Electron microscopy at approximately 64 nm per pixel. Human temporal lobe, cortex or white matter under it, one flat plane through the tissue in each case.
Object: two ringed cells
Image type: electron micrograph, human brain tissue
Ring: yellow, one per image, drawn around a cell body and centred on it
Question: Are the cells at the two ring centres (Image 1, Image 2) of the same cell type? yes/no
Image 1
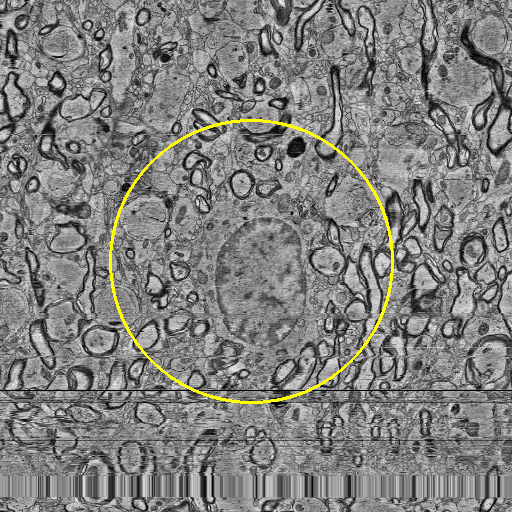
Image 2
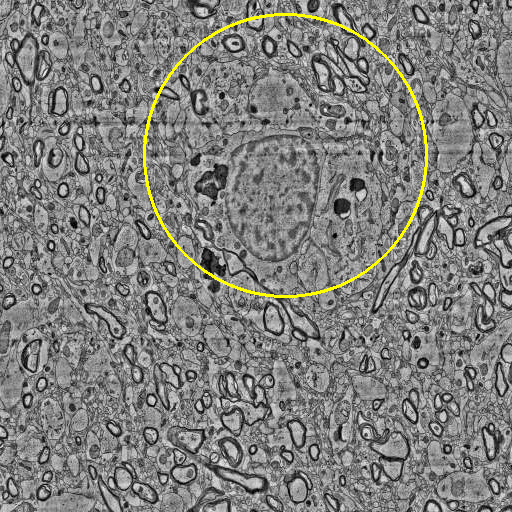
yes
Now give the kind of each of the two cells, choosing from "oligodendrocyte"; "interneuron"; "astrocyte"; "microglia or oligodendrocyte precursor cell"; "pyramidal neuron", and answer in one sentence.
The second cell is an oligodendrocyte, just as the first is.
